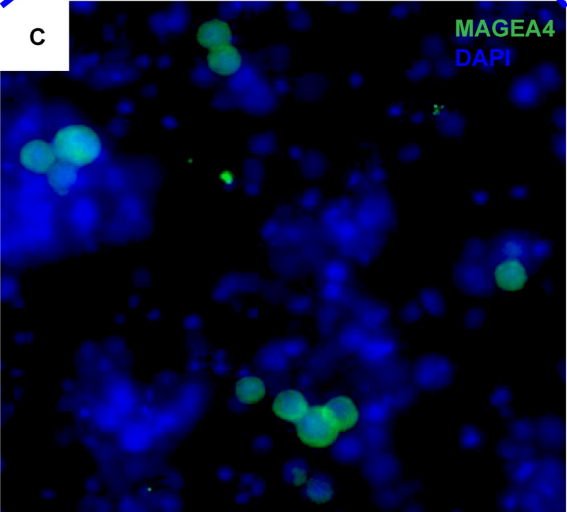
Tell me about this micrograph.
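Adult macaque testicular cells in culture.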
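The green cells are spherical with smooth outlines and are clearly bigger than the many small blue nuclei of the surrounding cells. They lie singly or in small clusters of two to four cells, resting on or beside patches of crowded, blurred blue nuclei of other cells.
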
